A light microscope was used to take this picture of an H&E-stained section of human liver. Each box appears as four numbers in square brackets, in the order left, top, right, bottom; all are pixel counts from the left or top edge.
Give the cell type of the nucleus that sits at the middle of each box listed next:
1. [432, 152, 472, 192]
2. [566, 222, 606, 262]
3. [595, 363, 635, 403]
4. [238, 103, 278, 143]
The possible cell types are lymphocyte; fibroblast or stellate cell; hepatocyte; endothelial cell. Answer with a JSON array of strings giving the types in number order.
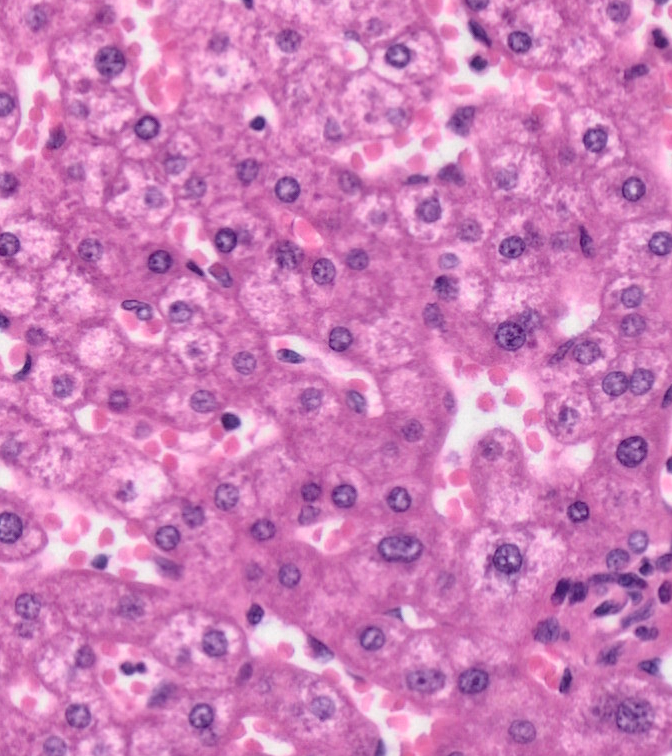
["endothelial cell", "fibroblast or stellate cell", "hepatocyte", "lymphocyte"]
